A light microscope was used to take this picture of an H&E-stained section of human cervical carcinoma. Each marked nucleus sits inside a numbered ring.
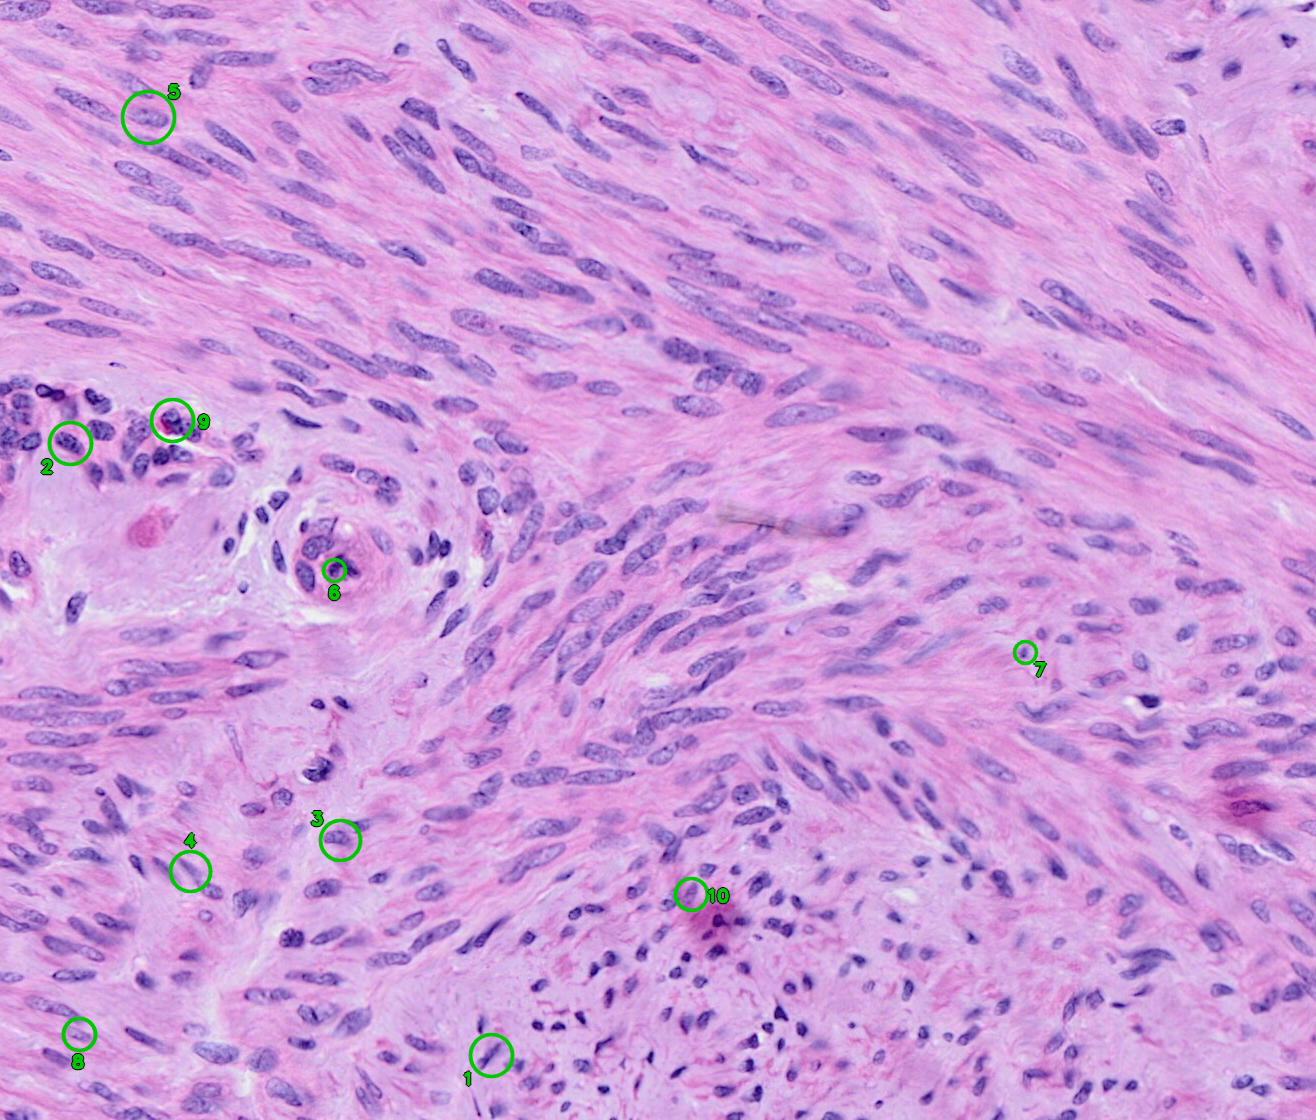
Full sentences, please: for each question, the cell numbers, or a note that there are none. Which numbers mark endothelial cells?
The cells that bear the numbers 2, 6 and 9 are endothelial cells.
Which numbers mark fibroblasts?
Cell 1 is a fibroblast; the remaining numbered cells are not.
